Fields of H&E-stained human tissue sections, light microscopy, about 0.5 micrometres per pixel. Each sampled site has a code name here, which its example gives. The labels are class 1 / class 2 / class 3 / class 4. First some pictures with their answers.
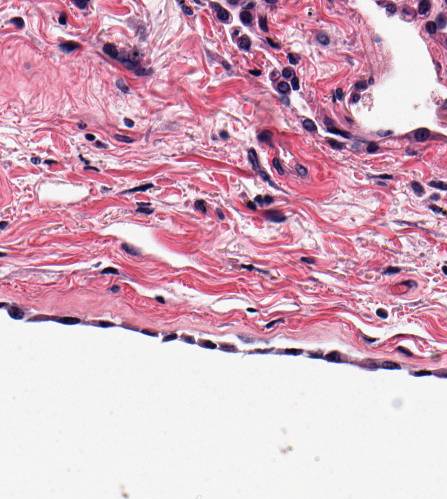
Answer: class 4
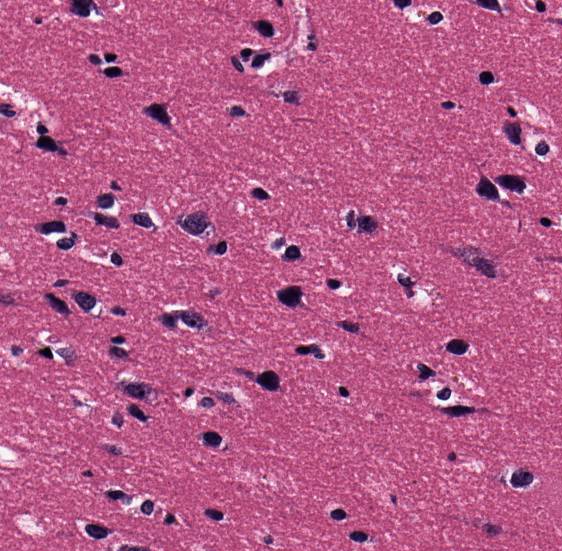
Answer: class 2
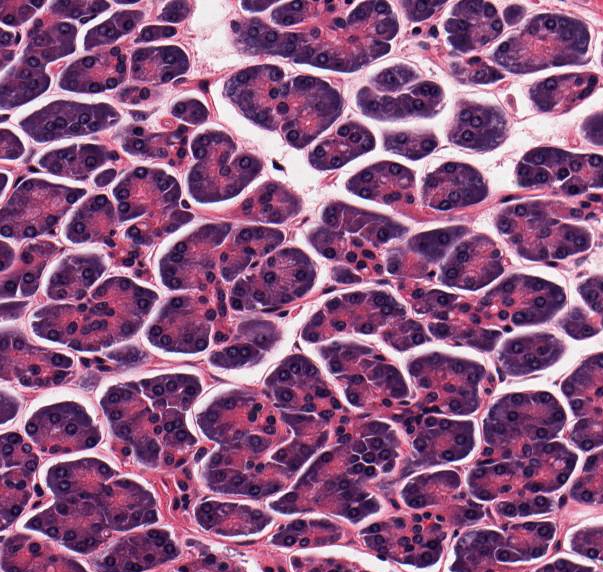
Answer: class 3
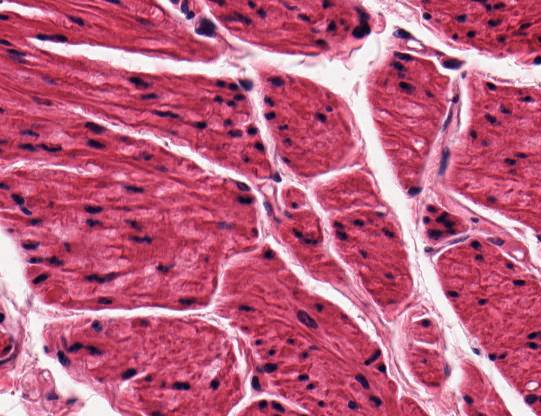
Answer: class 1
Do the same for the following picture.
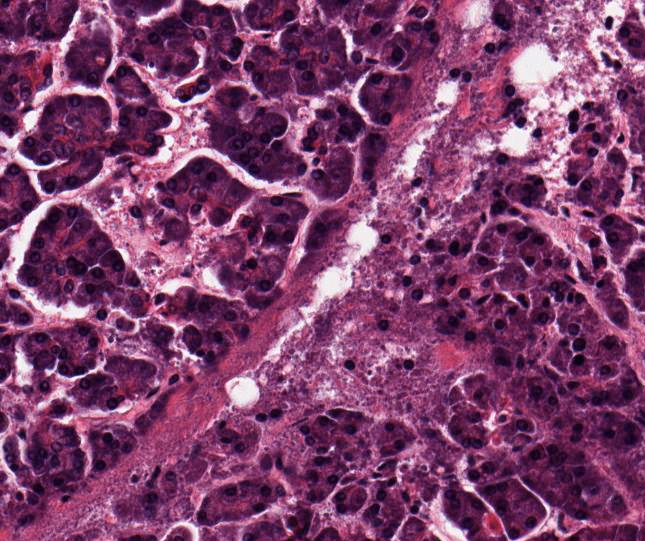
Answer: class 3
